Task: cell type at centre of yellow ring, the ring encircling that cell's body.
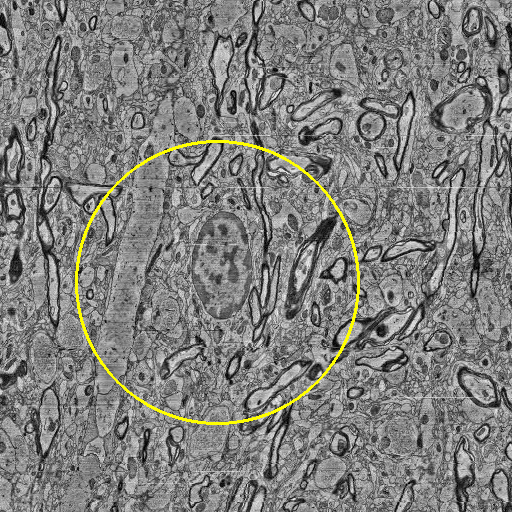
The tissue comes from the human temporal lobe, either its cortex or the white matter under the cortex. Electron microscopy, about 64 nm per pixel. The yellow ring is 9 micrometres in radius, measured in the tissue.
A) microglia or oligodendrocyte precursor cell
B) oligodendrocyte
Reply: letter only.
A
